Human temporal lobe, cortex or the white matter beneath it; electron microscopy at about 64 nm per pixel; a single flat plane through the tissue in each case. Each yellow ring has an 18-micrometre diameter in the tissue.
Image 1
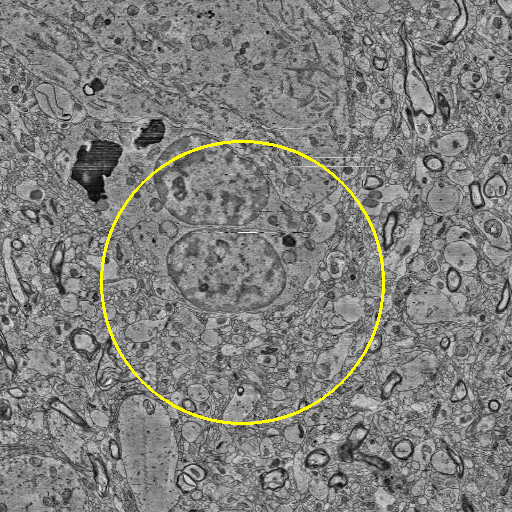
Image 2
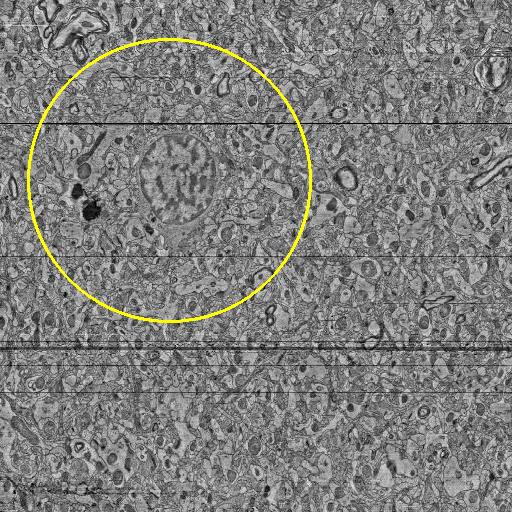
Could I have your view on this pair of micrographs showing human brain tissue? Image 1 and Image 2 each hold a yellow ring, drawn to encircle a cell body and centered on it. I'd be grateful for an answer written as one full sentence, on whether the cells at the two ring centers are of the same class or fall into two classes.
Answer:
The cells at the centers of the two rings are of the same class.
